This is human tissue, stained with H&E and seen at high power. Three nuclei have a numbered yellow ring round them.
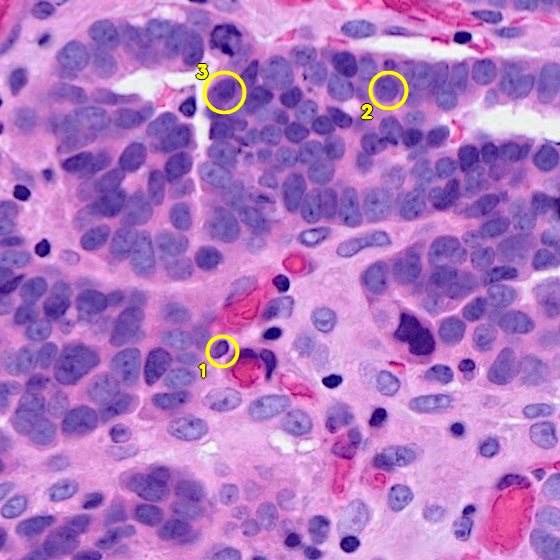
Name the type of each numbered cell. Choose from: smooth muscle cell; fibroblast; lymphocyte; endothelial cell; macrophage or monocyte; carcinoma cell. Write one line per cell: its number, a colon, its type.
1: lymphocyte
2: carcinoma cell
3: carcinoma cell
